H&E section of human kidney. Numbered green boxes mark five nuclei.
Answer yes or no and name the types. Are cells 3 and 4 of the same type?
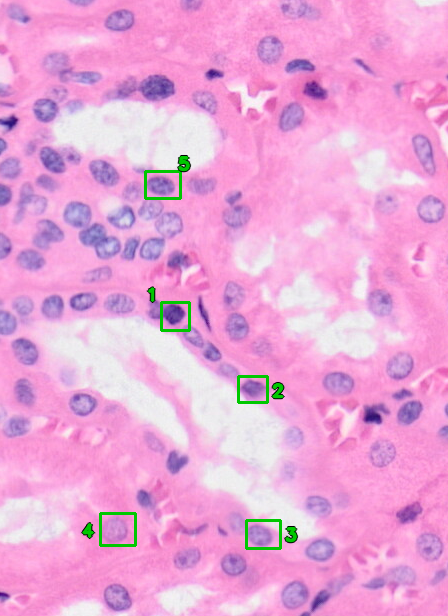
No, cell 3 should be called a collecting duct cell, and cell 4 should be called a proximal tubule cell.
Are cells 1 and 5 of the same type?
No, cell 1 is a collecting duct cell, while cell 5 is a loop of Henle or distal tubule cell.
